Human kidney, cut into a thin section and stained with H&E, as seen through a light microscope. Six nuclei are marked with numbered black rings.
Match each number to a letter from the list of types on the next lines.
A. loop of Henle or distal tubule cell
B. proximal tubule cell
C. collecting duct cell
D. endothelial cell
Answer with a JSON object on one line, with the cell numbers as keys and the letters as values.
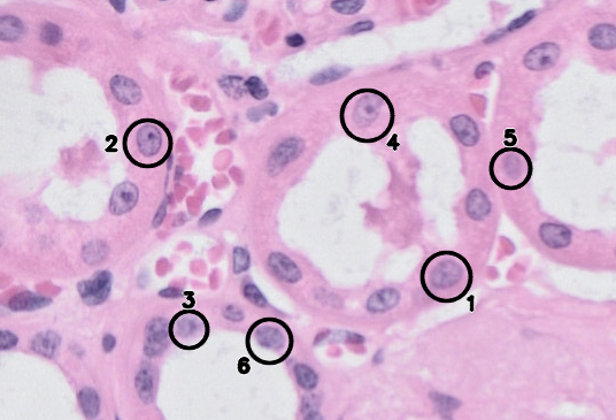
{"1": "B", "2": "B", "3": "C", "4": "B", "5": "B", "6": "C"}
